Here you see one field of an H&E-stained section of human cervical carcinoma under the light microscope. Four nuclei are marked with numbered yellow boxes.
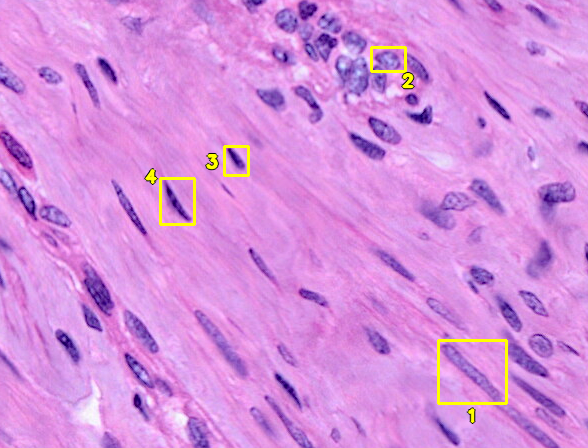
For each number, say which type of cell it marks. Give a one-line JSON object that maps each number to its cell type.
{"1": "smooth muscle cell", "2": "endothelial cell", "3": "fibroblast", "4": "fibroblast"}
